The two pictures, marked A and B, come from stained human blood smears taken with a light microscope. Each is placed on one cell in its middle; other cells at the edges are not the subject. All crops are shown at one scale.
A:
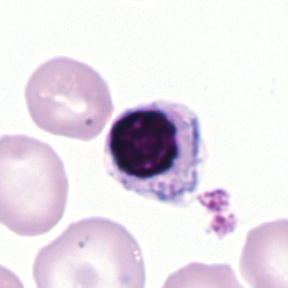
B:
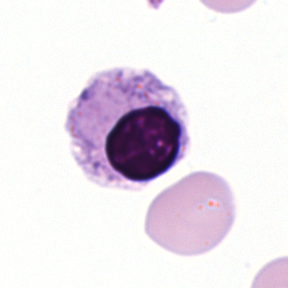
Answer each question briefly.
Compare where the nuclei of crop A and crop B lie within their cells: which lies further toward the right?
B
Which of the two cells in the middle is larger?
B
